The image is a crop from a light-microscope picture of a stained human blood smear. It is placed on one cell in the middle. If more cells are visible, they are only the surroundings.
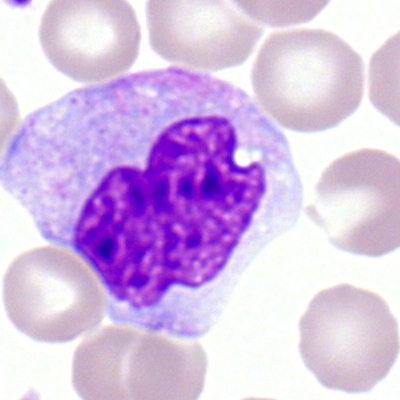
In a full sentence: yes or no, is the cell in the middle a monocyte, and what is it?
Yes, in the middle of the crop is a monocyte.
